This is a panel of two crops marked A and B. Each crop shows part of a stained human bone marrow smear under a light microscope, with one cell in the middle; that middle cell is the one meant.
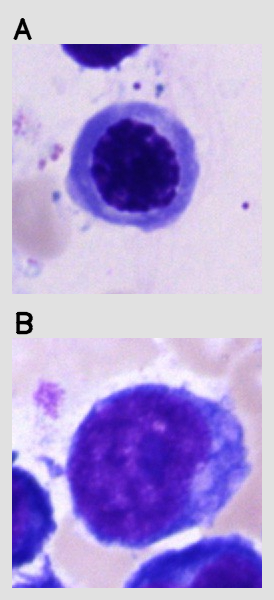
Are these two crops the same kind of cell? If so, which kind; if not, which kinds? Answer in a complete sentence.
No, crop B holds a blast, while crop A holds a normoblast.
